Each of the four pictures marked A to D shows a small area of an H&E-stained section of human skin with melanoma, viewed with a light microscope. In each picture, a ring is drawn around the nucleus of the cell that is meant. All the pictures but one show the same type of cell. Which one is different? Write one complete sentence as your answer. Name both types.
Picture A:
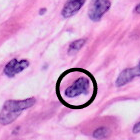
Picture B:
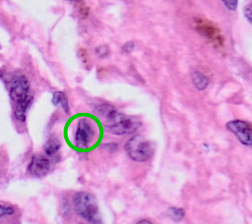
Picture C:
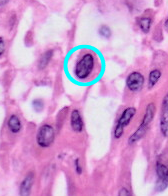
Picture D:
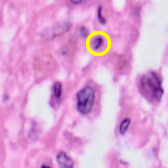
Picture A differs, because its cell is a lymphocyte and the rest are “macrophages or monocytes”.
